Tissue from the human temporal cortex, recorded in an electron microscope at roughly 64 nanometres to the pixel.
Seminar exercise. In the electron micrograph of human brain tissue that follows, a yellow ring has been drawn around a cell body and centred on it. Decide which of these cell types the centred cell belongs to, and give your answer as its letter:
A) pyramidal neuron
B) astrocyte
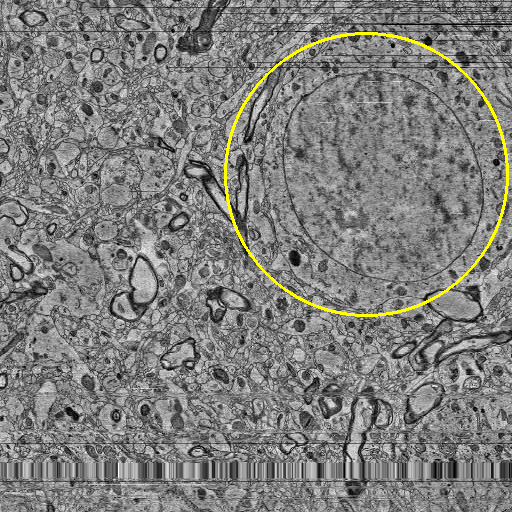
A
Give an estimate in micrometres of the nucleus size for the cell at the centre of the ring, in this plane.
In this plane, the nucleus of the cell at the centre of the ring measures about 15 by 12 micrometres.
